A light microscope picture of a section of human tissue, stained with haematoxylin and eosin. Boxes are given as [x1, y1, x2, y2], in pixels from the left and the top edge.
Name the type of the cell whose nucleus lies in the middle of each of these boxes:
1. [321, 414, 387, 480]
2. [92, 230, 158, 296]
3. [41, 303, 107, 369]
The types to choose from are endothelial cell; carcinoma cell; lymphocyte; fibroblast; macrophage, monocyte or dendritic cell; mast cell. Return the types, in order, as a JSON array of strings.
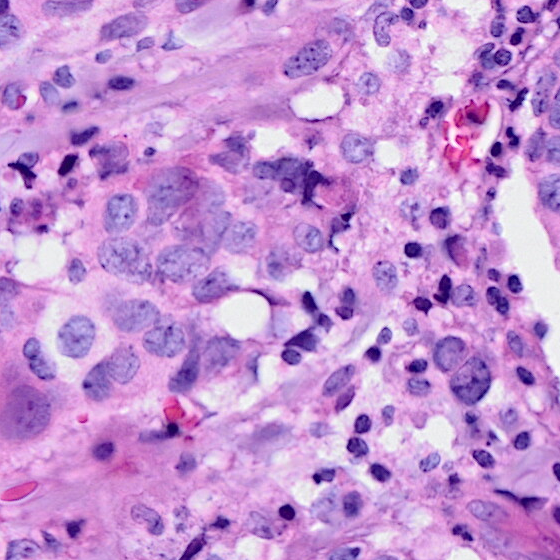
["lymphocyte", "carcinoma cell", "carcinoma cell"]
